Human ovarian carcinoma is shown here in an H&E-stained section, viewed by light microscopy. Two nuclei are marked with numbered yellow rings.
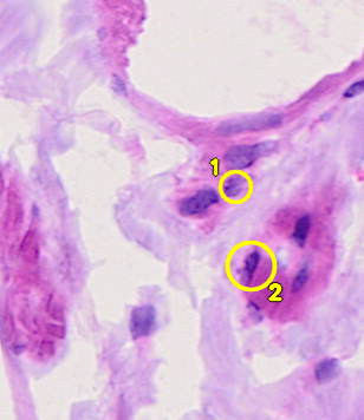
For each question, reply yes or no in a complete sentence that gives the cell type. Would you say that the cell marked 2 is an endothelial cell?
No, the cell at number 2 is a smooth muscle cell instead of an endothelial cell.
